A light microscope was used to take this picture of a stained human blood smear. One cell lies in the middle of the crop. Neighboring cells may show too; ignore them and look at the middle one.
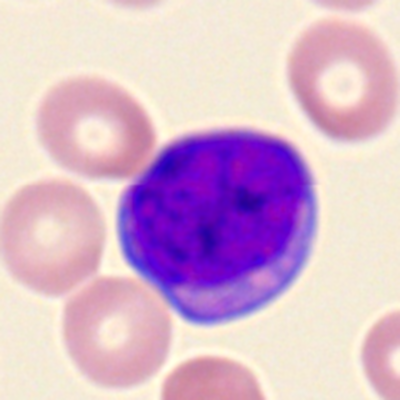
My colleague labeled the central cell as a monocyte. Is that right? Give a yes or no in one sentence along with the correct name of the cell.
No, the central cell is a myeloblast, not a monocyte.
